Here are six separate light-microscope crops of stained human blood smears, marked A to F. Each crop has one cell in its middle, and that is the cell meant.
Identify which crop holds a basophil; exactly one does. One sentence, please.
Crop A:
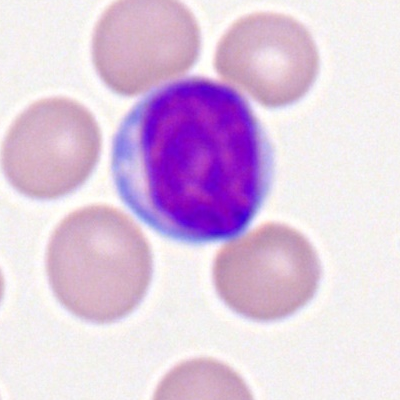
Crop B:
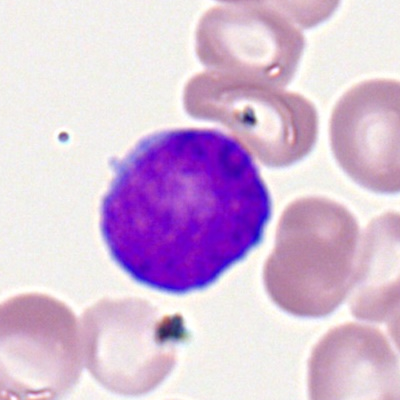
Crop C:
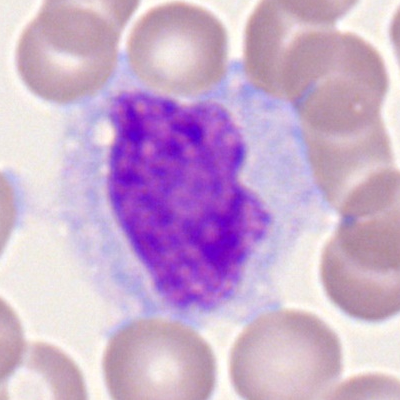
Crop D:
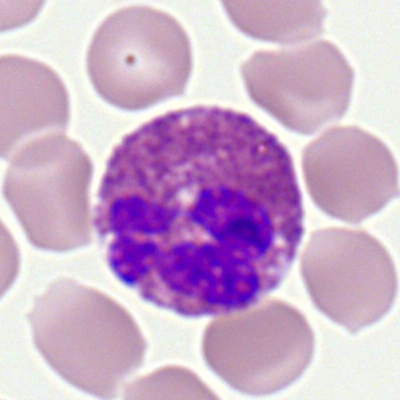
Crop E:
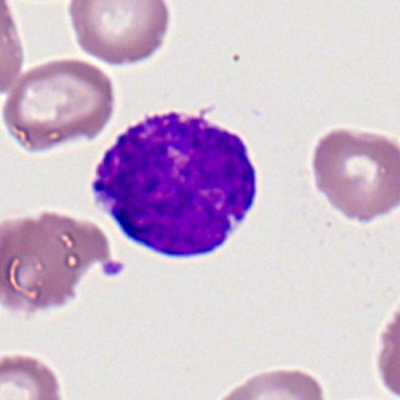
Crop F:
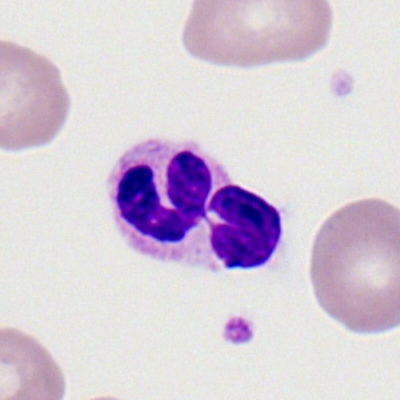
It is in crop E that a basophil is shown.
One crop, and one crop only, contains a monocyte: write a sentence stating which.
Here the crop that shows a monocyte is crop C.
